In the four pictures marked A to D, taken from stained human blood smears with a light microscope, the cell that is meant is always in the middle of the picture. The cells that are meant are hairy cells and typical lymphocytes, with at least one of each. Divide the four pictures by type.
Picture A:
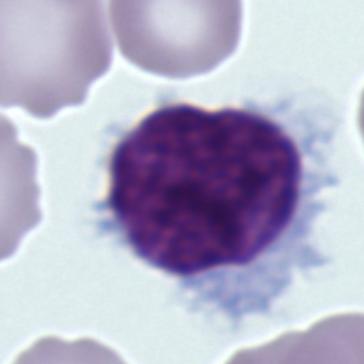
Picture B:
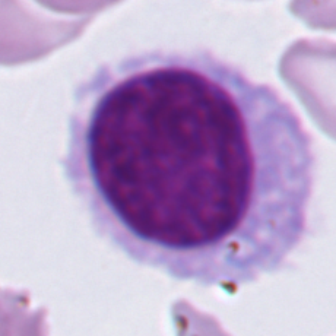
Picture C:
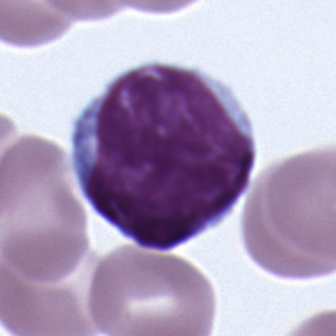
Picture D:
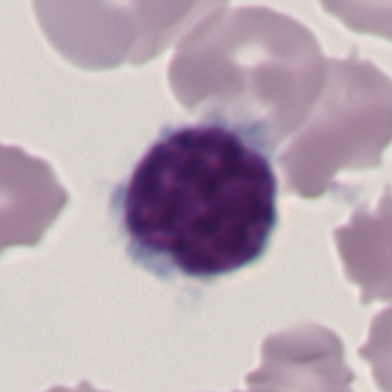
A: hairy cell
B: hairy cell
C: typical lymphocyte
D: hairy cell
